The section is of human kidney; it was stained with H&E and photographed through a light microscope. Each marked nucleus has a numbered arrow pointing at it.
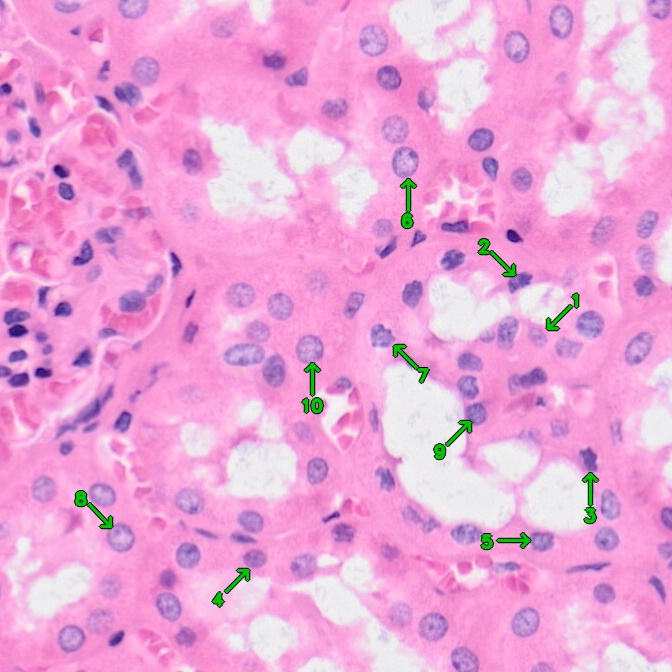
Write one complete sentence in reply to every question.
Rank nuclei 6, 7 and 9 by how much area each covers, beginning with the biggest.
Largest first, the order by area is 6, 7, 9.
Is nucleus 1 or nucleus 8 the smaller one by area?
Number 1 is smaller, since number 8 takes up about 2.5 times as much area.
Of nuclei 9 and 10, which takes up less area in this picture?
It is nucleus 9; nucleus 10 has about 2 times its area.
